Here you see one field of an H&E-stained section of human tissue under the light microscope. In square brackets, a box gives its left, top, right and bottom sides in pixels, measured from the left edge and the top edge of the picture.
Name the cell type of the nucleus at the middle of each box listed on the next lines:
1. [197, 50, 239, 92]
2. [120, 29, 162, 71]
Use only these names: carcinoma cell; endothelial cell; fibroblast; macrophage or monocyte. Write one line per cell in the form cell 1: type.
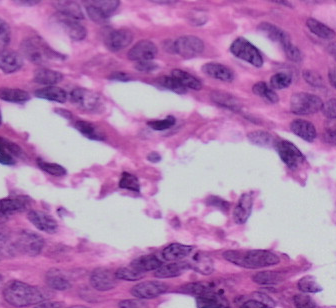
cell 1: macrophage or monocyte
cell 2: carcinoma cell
